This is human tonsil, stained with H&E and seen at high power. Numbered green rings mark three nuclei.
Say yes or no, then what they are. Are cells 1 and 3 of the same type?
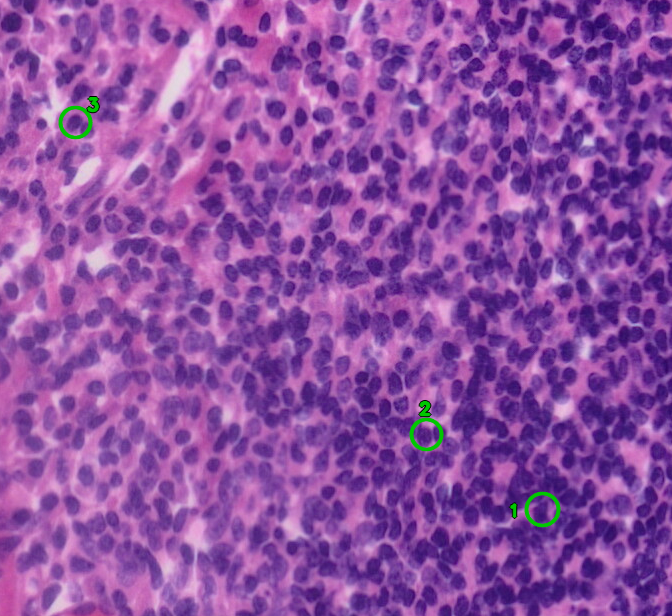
No, cell number 1 is a small lymphocyte and cell number 3 is a plasma cell.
